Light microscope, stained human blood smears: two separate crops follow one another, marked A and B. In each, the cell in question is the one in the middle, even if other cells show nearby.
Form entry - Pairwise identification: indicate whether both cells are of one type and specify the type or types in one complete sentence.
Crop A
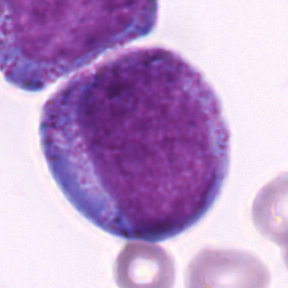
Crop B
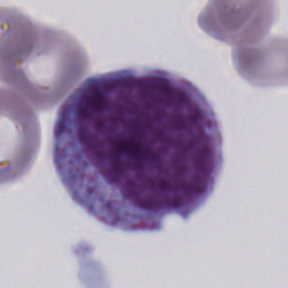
Yes, both crops show promyelocytes, the one and the other.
